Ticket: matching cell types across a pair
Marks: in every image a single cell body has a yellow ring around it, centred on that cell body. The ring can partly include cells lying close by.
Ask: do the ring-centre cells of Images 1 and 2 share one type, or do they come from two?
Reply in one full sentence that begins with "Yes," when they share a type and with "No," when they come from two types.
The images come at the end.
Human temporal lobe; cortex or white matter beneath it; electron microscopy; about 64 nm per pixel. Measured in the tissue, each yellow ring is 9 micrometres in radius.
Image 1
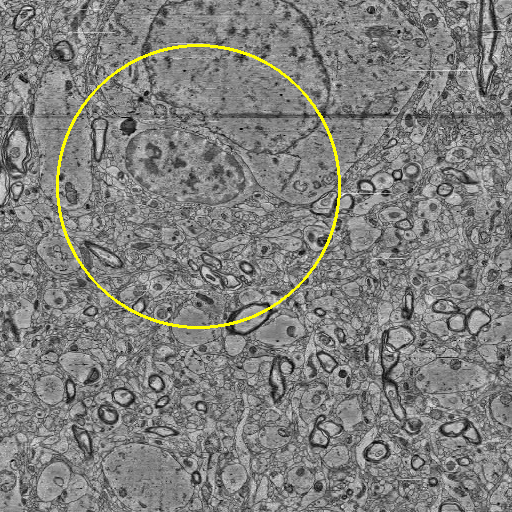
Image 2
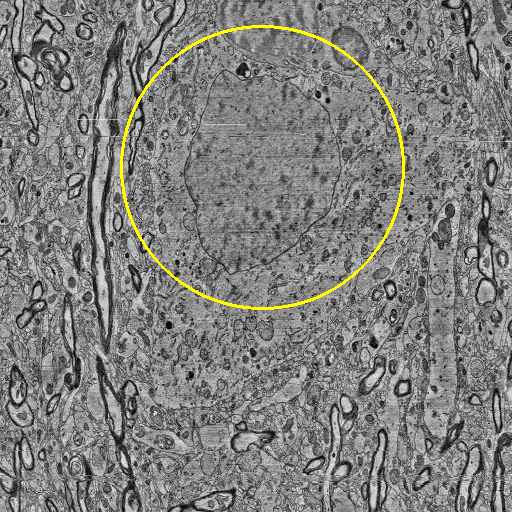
No, the cells in the centres of the rings in Image 1 and Image 2 come from two types.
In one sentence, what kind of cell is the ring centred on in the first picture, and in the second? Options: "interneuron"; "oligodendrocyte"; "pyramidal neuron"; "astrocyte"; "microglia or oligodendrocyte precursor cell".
The cell at the centre of the second ring is a pyramidal neuron; the first ring's cell is an oligodendrocyte.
